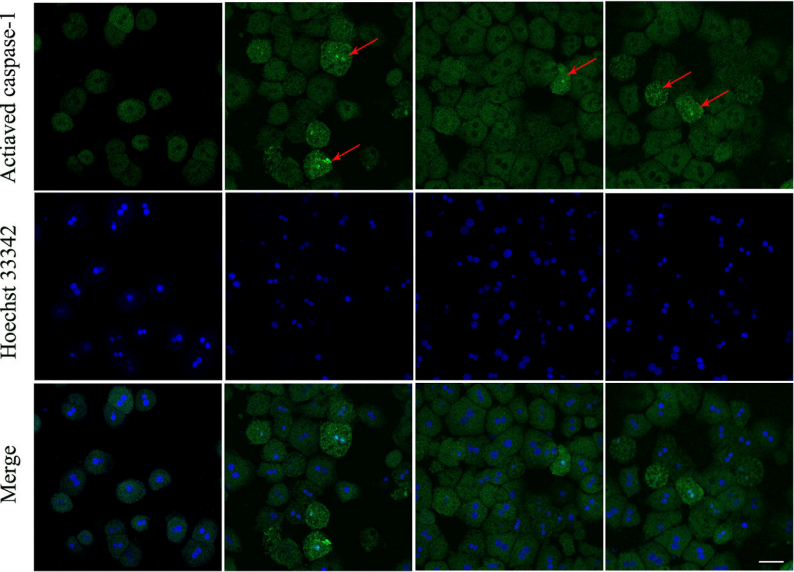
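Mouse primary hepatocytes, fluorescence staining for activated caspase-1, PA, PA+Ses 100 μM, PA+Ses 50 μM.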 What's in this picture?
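The cells are broad and closely packed, with abundant cytoplasm that fills with a diffuse green signal. Many cells hold two small round nuclei, which appear as paired blue dots in the nuclear row. In some cells, picked out by red arrows, the green signal is brighter and gathers into fine granular specks rather than staying evenly spread. In the overlay, the blue nuclei sit within the green cytoplasm, and several cells show a centrally placed pair of nuclei.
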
